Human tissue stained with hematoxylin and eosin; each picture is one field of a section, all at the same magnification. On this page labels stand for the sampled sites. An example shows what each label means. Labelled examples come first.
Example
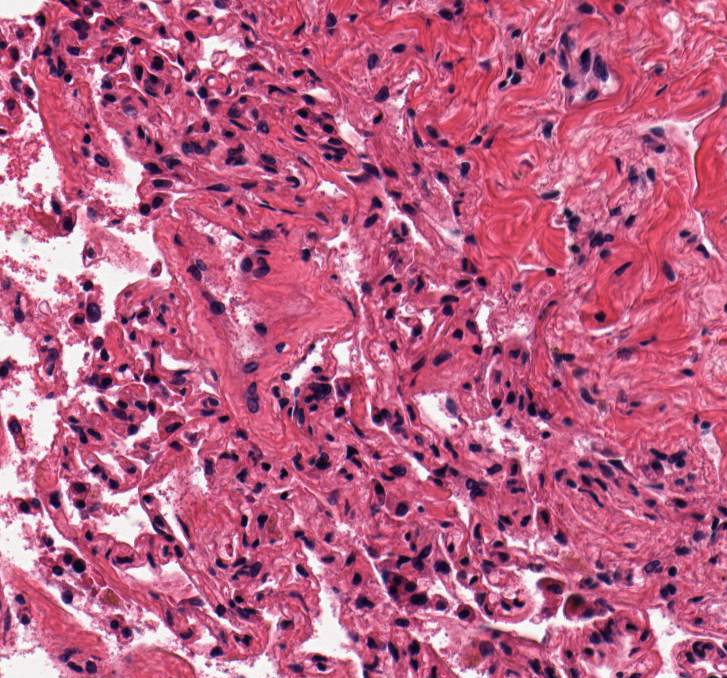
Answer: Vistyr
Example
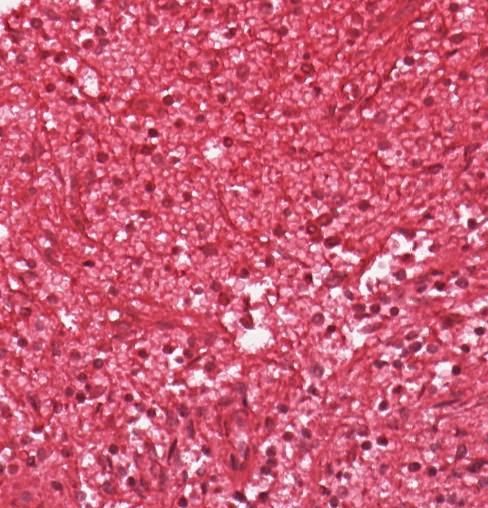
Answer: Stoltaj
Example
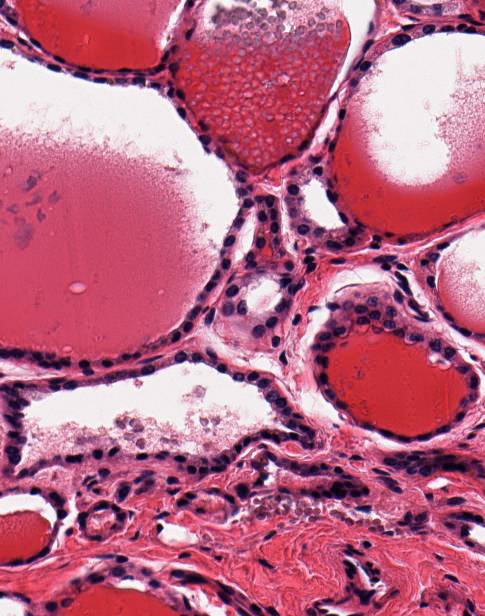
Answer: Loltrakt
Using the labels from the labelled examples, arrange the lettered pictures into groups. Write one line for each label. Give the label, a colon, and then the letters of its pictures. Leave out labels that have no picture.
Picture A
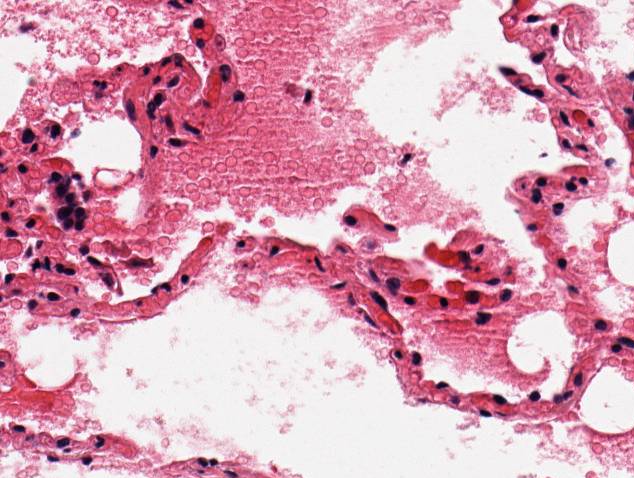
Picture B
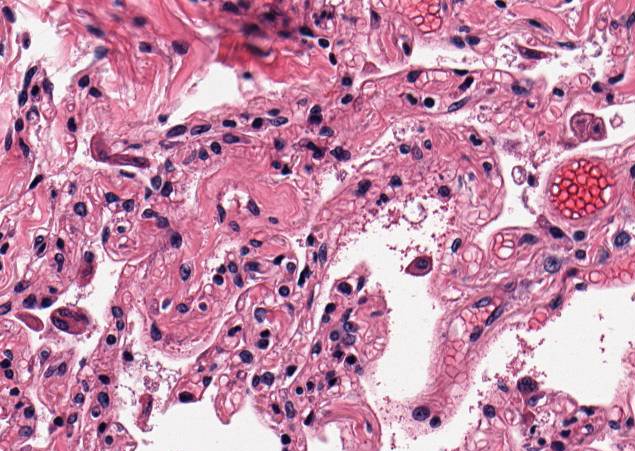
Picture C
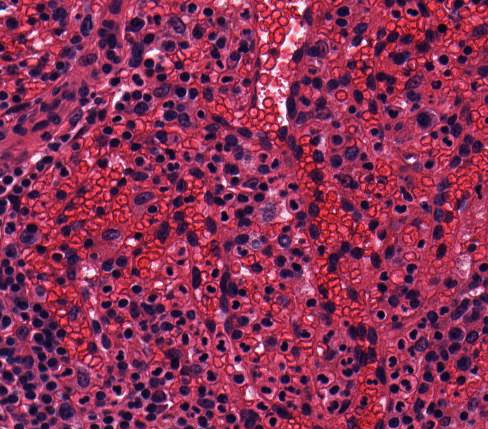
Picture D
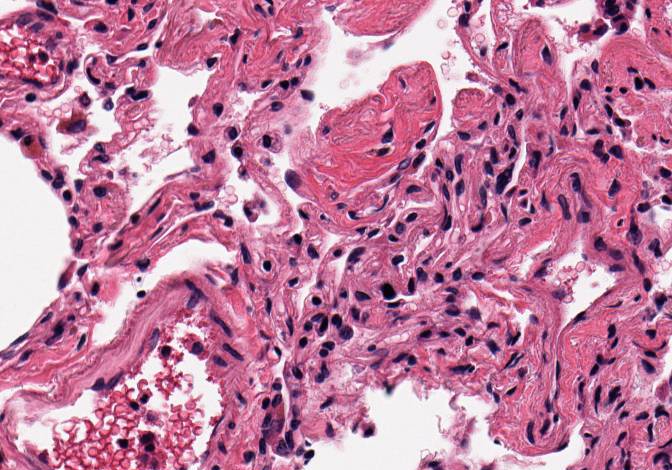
Vistyr: A, B, D
Stoltaj: C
